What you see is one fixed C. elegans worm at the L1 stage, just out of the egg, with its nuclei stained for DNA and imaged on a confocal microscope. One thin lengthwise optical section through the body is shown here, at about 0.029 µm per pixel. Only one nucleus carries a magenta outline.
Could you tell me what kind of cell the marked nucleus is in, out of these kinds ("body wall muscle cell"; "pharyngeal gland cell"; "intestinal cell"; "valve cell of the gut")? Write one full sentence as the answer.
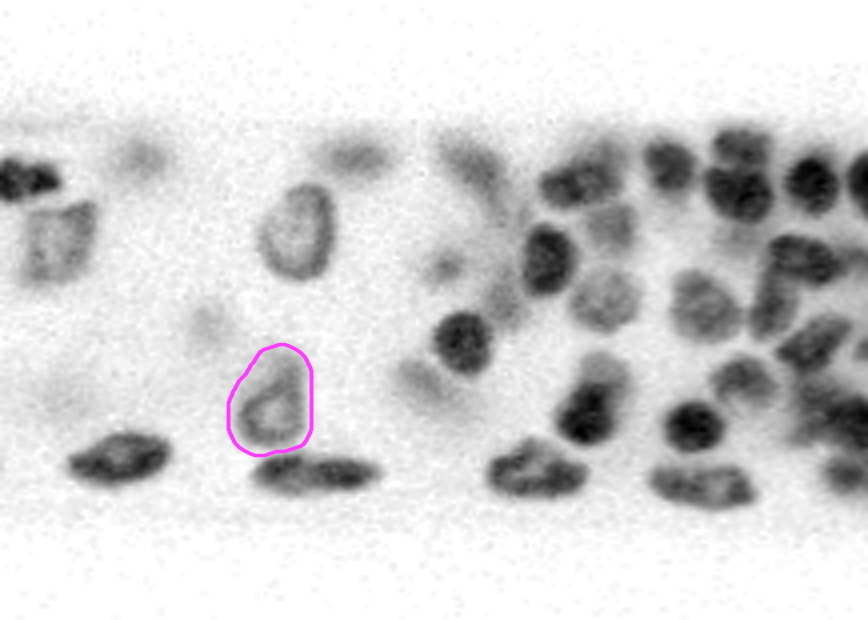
This nucleus is from an intestinal cell.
